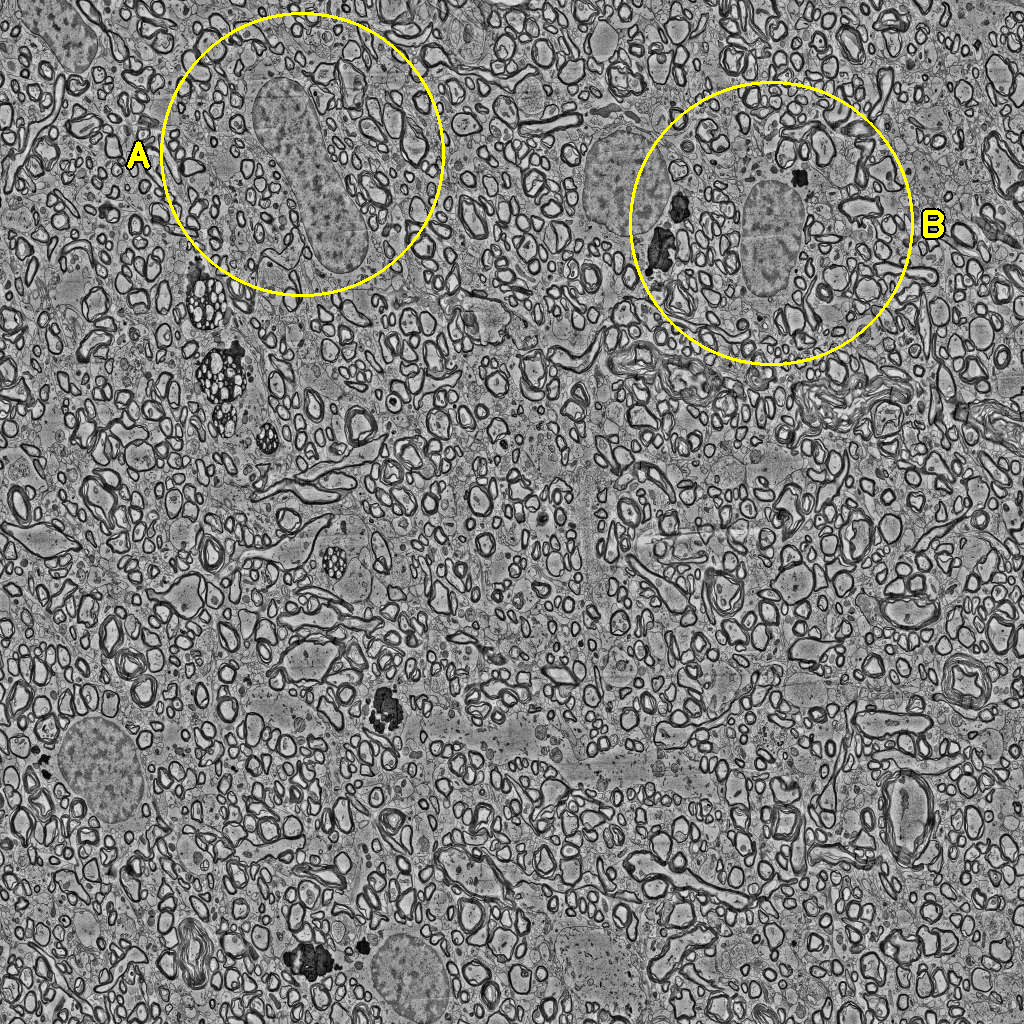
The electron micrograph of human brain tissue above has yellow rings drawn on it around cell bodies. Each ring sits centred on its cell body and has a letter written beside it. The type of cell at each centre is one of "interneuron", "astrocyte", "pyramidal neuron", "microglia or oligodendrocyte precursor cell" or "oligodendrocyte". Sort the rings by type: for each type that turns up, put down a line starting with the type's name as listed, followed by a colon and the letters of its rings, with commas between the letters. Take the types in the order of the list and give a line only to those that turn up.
microglia or oligodendrocyte precursor cell: A
oligodendrocyte: B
